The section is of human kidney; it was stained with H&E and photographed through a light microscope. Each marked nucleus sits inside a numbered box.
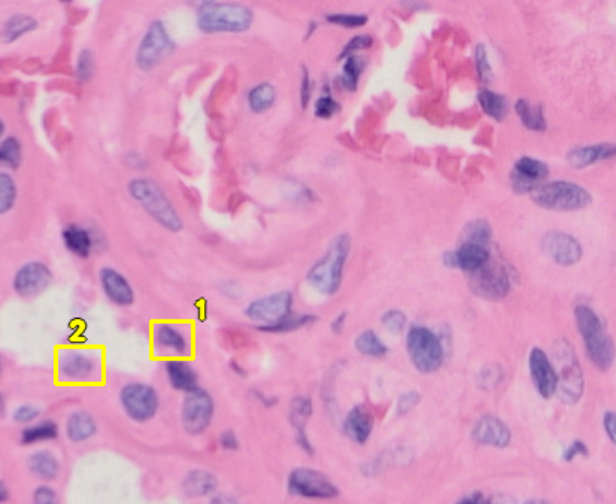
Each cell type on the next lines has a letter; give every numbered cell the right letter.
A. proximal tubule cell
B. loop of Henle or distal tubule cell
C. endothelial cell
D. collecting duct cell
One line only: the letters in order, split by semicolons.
D; B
